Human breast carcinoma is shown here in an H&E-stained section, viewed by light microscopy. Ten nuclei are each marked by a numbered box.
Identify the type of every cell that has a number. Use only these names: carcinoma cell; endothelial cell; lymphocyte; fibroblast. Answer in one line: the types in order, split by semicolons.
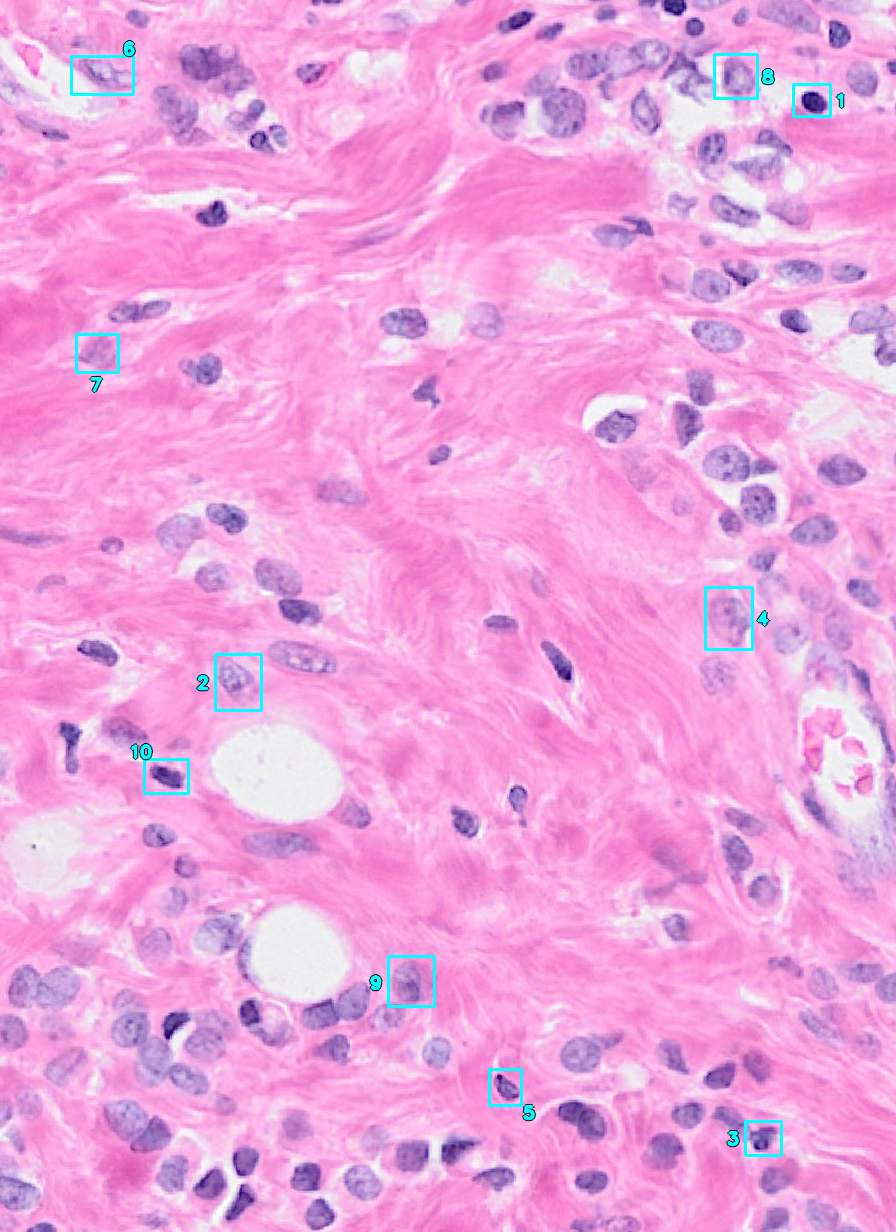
lymphocyte; fibroblast; lymphocyte; fibroblast; lymphocyte; endothelial cell; fibroblast; carcinoma cell; fibroblast; lymphocyte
